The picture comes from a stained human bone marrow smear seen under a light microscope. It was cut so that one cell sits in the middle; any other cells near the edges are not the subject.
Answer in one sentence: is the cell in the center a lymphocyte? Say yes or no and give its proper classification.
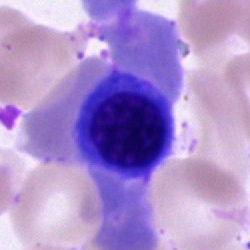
No, that is not a lymphocyte; the middle cell is a normoblast.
